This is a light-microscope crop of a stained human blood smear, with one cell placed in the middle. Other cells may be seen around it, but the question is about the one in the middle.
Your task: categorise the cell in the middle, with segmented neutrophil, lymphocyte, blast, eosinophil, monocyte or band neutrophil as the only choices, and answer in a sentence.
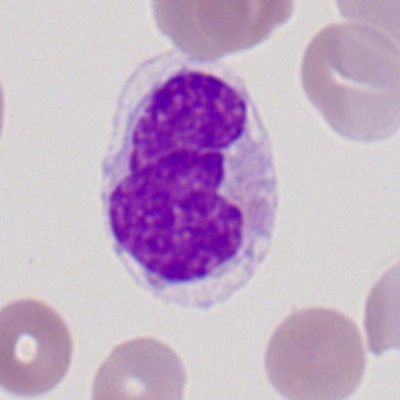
By classification, the middle cell of this crop is a monocyte.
